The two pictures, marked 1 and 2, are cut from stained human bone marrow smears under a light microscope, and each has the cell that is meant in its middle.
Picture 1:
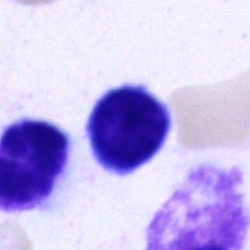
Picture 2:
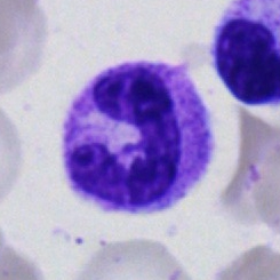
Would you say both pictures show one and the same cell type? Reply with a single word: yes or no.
no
